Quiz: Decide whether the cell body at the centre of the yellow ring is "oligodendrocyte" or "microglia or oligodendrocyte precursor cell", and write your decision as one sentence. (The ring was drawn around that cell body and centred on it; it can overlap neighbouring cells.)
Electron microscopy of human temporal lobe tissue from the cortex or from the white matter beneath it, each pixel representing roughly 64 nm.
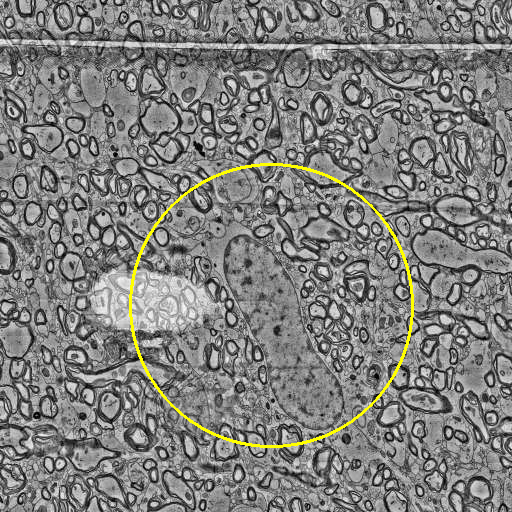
The cell the ring is centred on is a microglial cell or oligodendrocyte precursor cell.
